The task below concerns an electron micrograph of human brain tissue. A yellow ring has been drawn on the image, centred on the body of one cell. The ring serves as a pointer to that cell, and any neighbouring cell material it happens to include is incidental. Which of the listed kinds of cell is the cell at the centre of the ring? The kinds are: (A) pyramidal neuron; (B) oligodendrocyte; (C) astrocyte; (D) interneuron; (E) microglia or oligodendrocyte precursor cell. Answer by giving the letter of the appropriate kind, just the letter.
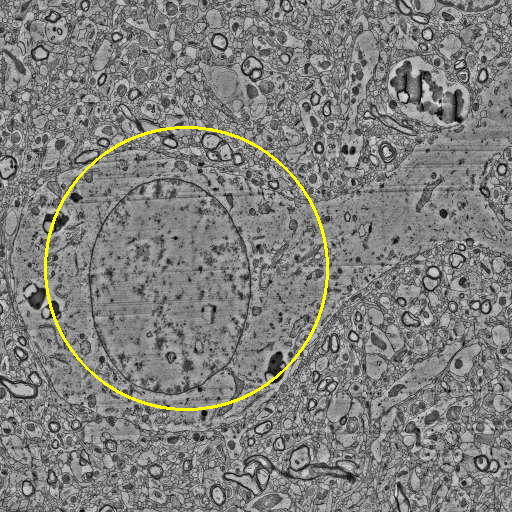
A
